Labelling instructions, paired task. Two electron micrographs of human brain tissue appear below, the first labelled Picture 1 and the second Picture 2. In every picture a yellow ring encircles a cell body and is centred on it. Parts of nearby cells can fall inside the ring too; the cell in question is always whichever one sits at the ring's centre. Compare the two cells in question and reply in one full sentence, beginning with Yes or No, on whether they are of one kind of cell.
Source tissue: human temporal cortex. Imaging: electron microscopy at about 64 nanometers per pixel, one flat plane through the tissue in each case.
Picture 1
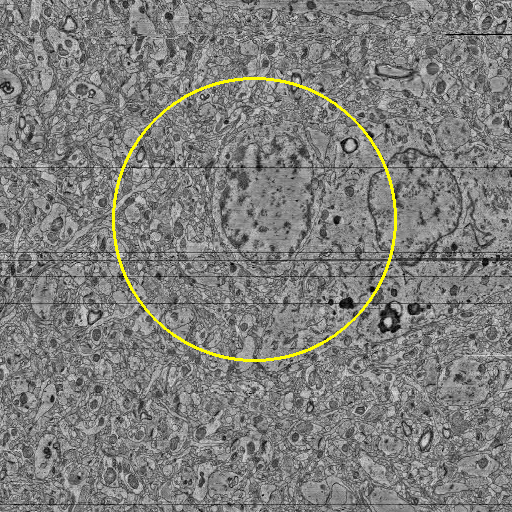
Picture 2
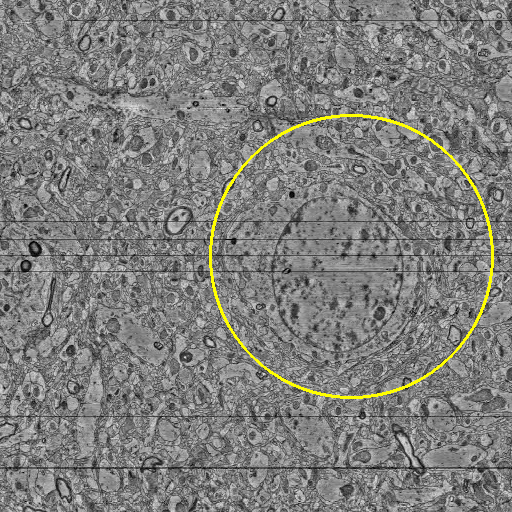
No, the two cells at the ring centres in Picture 1 and Picture 2 are of two kinds.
